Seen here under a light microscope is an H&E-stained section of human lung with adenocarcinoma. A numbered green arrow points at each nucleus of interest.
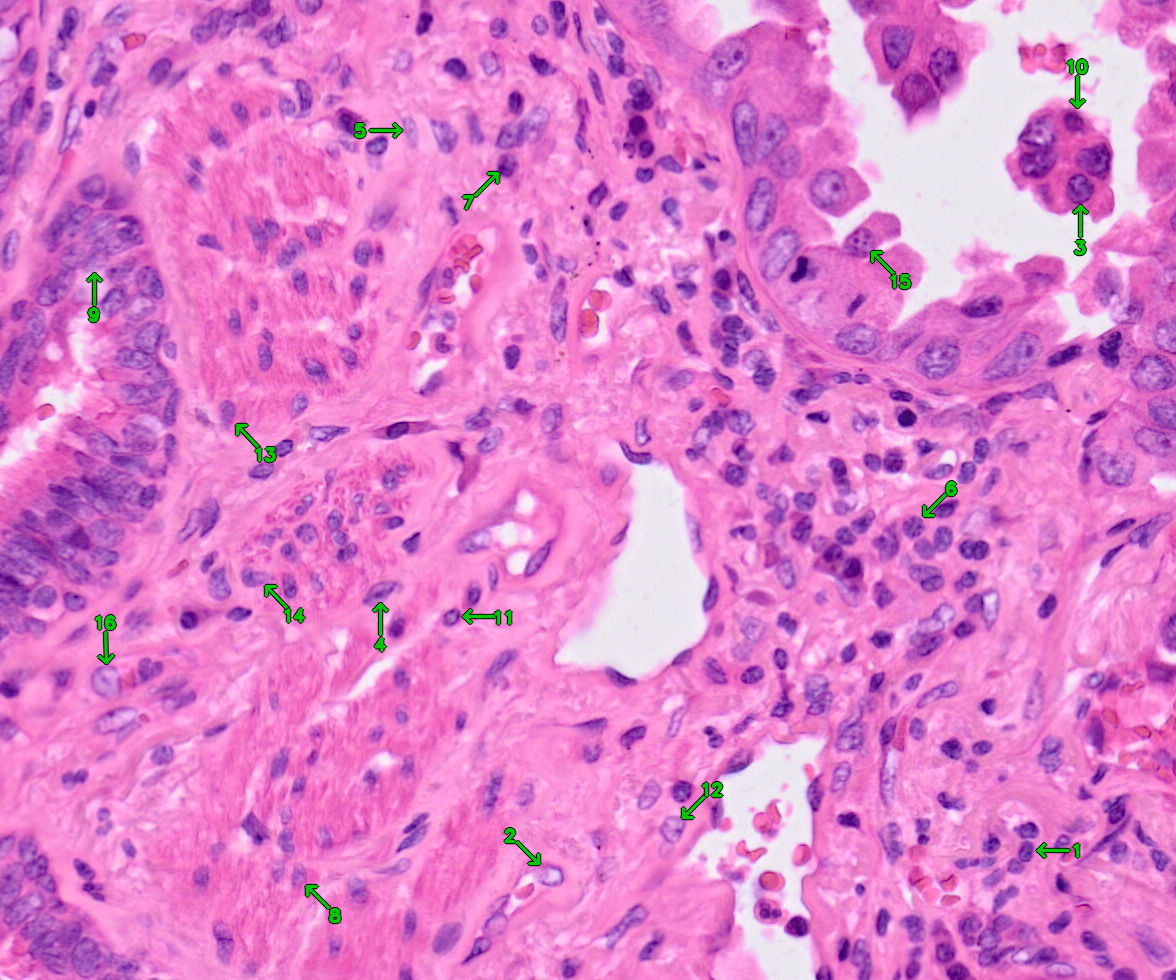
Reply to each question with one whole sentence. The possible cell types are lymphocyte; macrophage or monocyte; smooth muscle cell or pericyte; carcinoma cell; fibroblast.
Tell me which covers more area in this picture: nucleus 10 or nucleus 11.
Nucleus 10 covers more area, about 1.5 times as much as nucleus 11.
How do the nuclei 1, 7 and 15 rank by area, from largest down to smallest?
Largest first, the order by area is 15, 7, 1.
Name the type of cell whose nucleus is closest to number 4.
Closest to number 4 lies the nucleus of a smooth muscle cell or pericyte.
